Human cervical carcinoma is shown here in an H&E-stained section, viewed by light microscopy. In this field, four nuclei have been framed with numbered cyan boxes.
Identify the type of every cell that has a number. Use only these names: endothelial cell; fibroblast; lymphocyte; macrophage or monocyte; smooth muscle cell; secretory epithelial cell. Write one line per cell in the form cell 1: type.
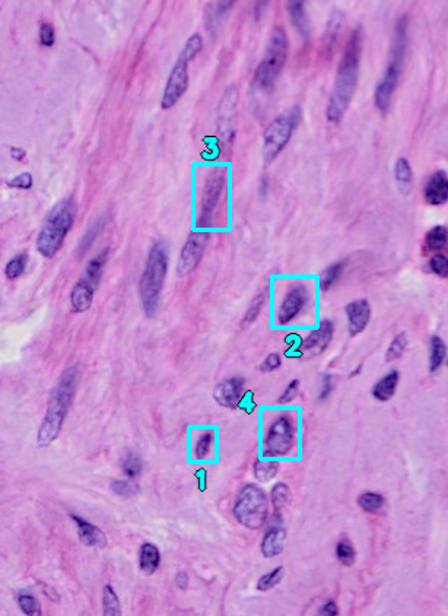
cell 1: smooth muscle cell
cell 2: fibroblast
cell 3: smooth muscle cell
cell 4: endothelial cell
